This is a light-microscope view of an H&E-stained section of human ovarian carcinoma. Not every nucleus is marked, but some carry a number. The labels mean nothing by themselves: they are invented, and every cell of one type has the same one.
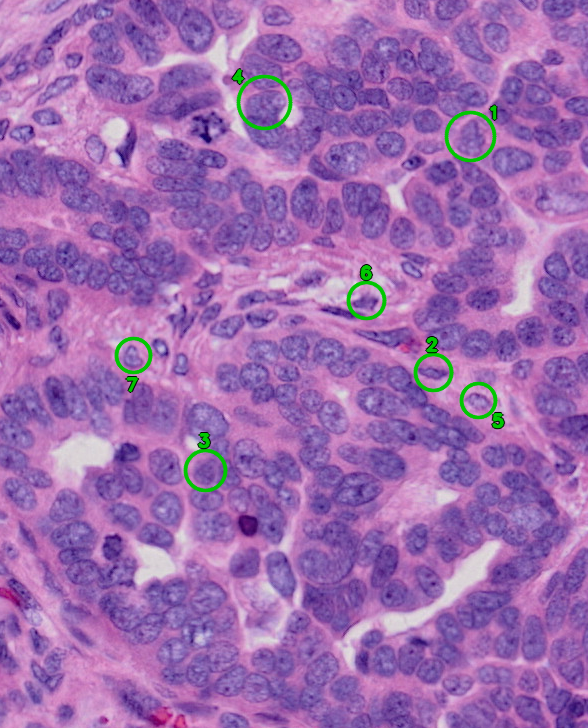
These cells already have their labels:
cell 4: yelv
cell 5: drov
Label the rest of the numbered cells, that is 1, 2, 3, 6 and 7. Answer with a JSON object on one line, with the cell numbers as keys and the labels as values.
{"1": "yelv", "2": "drov", "3": "yelv", "6": "drov", "7": "drov"}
